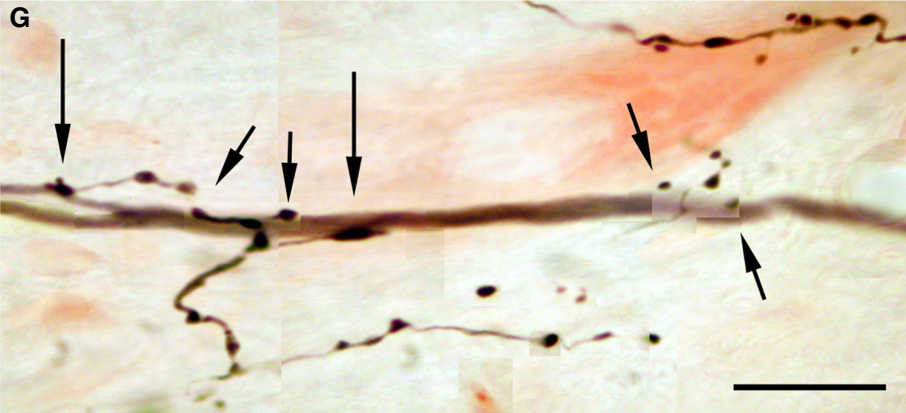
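Thin, beaded axonal fibers wind through the field and bear many small dark round boutons, several of which lie right alongside the dendrite. One especially large dark bouton sits directly on the dendrite.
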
